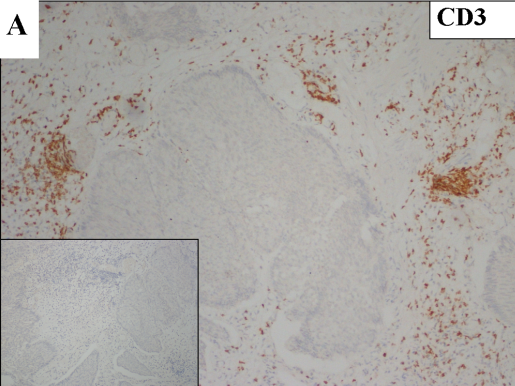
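In several places they gather into dense brown aggregates at the borders of the tumour nests. Elsewhere they are scattered singly through the connective tissue.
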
